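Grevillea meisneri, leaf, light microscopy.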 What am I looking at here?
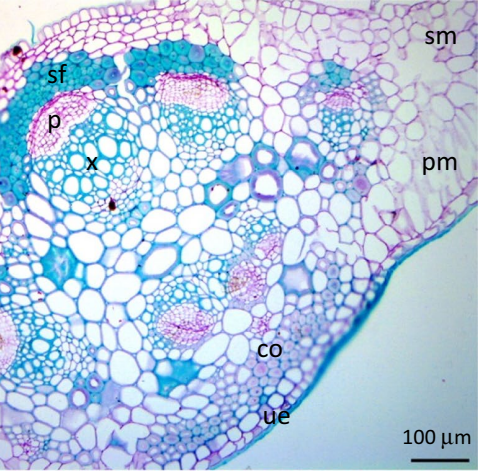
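A thickened region holds several vascular bundles, each with blue-stained xylem cells in radial rows and a cap of small pink phloem cells, flanked by dense caps of thick-walled blue fibres. Between and around the bundles lie larger pale thin-walled cells, with thicker-cornered cells beneath a single outer layer of epidermis, and tall columnar photosynthetic cells appear where the section passes into the blade. This is the mid-rib of a leaf with sclerenchyma fibers, collenchyma, palisade and spongy mesophyll.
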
